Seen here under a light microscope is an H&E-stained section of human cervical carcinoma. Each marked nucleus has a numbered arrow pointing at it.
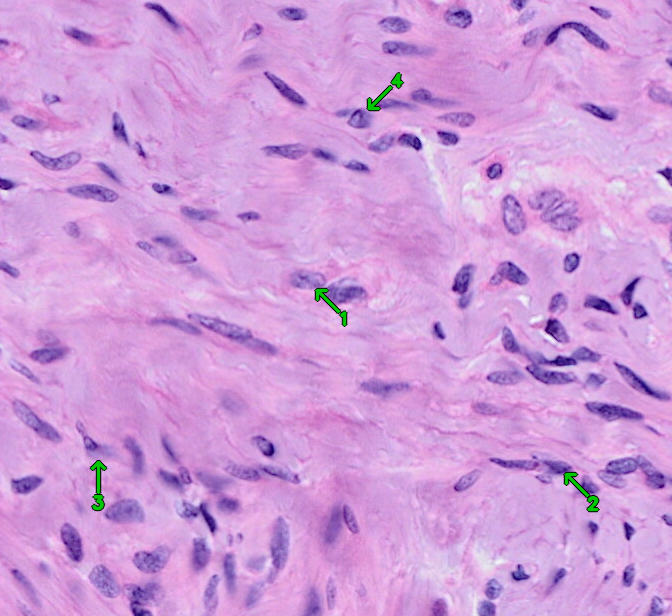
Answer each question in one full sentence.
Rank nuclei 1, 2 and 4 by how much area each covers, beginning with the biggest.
Largest first, the order by area is 1, 4, 2.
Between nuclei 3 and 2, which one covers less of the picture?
Number 2 is smaller, since number 3 takes up about 2 times as much area.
